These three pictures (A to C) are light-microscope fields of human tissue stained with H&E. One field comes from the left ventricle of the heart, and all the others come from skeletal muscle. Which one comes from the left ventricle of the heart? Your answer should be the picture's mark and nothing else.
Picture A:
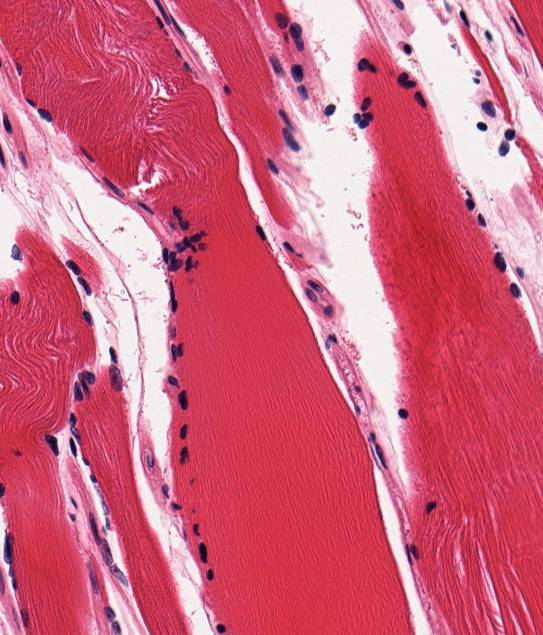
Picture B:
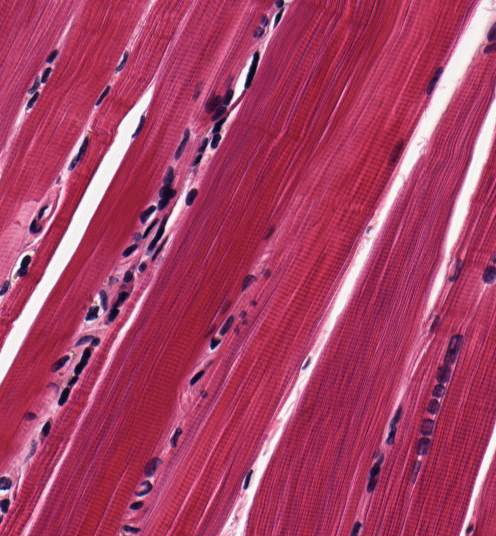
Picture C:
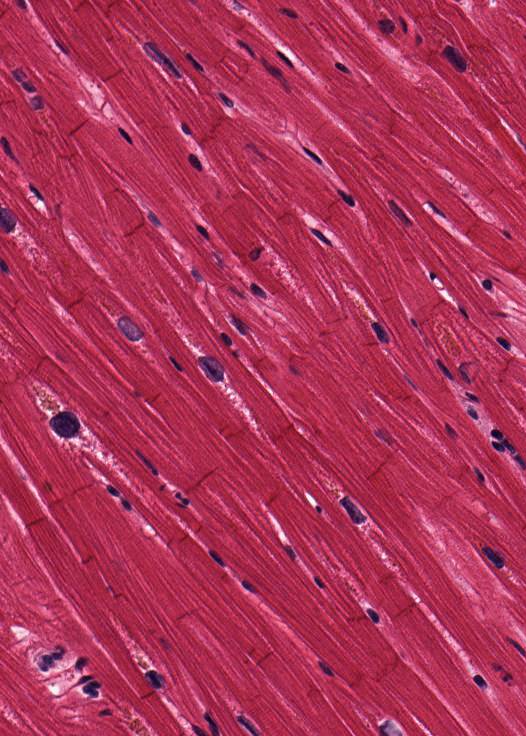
C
